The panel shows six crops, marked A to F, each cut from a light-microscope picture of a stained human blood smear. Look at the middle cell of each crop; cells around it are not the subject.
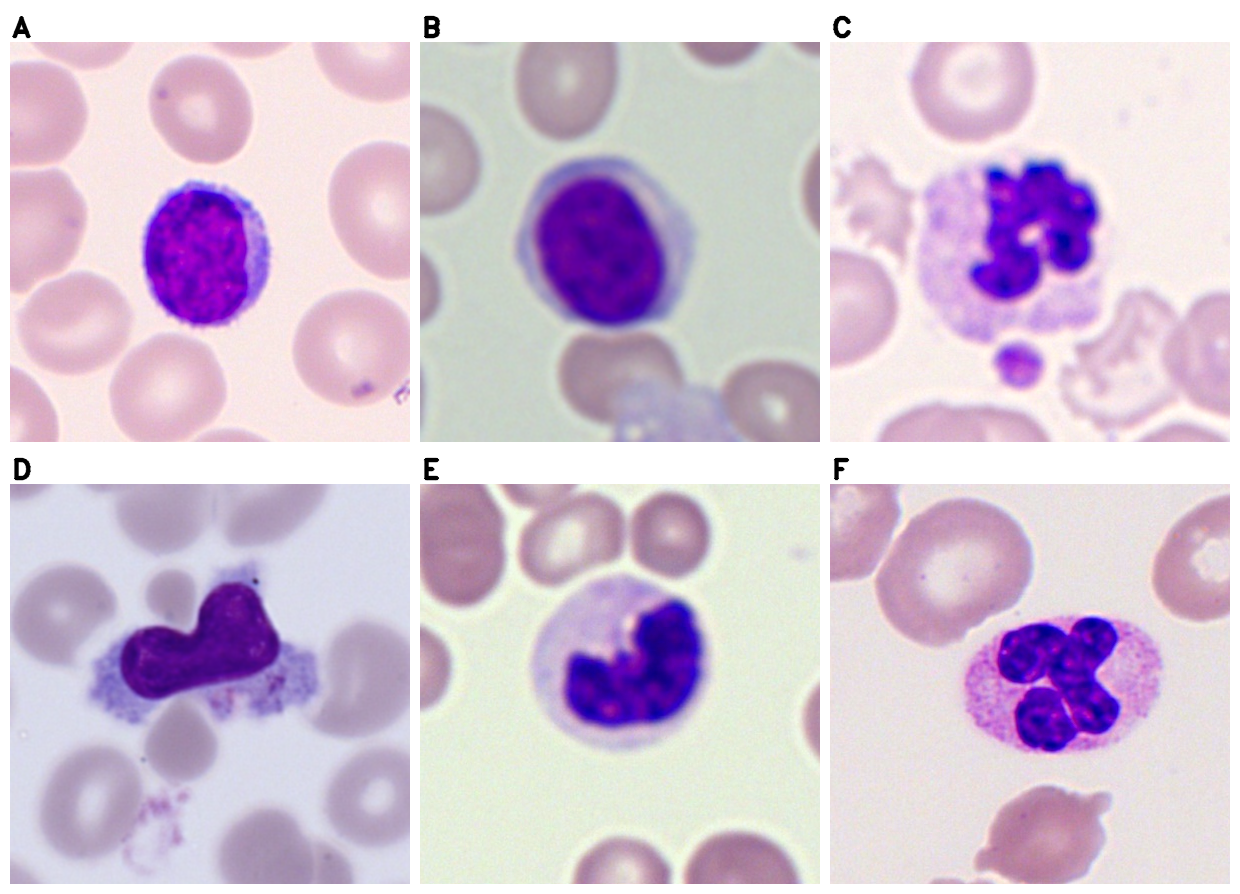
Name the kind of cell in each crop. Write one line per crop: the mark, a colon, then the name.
A: lymphocyte
B: lymphocyte
C: segmented neutrophil
D: lymphocyte
E: segmented neutrophil
F: segmented neutrophil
